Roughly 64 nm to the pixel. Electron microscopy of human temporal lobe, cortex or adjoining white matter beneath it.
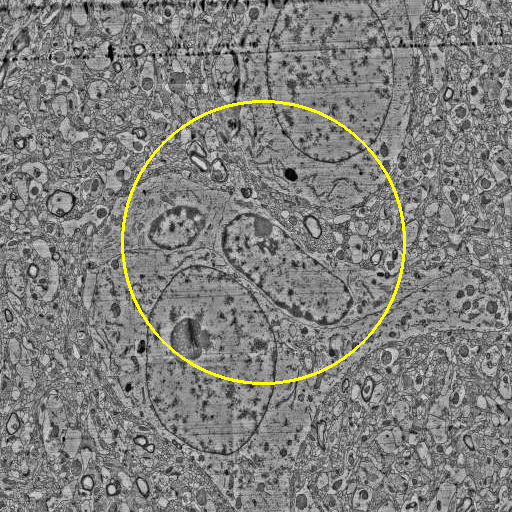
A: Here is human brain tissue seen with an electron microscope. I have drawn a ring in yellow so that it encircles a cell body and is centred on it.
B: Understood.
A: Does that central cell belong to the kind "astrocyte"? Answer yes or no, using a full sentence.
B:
No, the central cell inside your yellow ring belongs to another kind.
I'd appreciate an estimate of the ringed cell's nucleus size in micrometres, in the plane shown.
About 9 by 4 micrometres; in this plane the nucleus is clearly longer than it is wide.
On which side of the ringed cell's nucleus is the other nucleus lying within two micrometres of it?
The other nucleus lies to the left of it in the picture.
